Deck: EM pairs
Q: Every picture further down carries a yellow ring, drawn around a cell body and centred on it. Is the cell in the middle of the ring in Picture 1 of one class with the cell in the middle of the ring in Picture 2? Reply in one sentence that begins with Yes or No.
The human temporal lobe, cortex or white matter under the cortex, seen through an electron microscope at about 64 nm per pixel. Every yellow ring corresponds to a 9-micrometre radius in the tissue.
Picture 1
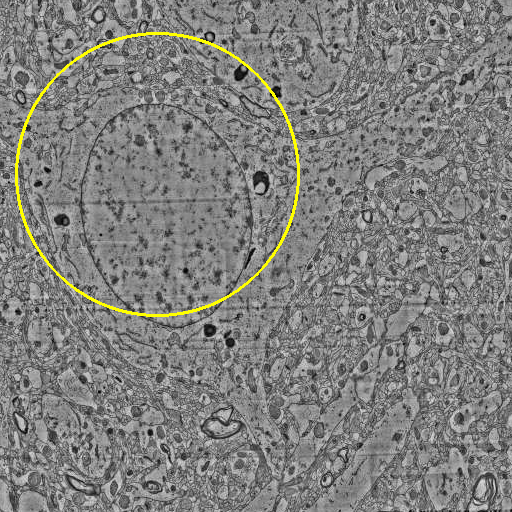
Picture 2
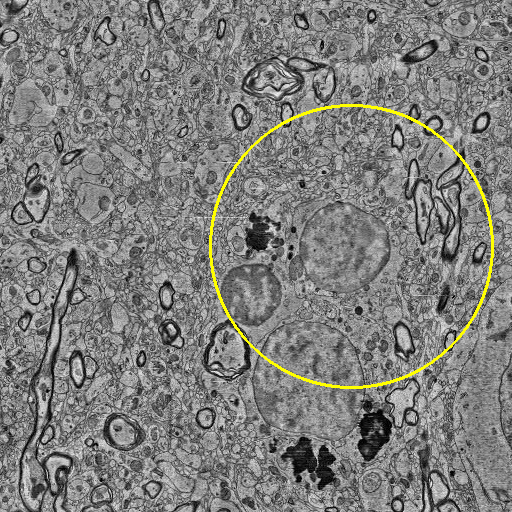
No, the cell centred in the ring of Picture 1 and the one in Picture 2 belong to separate classes.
